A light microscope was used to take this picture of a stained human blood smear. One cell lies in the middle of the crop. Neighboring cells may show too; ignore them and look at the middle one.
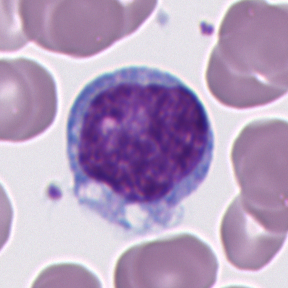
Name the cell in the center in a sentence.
Where the crop is centred, there is a monocyte.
